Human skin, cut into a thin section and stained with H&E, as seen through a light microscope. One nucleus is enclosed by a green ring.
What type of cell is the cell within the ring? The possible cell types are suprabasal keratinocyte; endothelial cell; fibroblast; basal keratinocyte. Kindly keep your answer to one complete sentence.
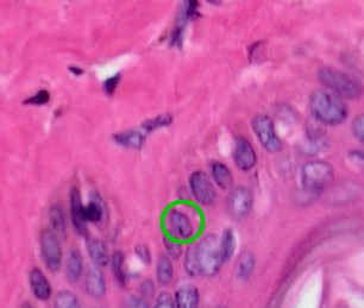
To be brief about it, the cell within the ring is a basal keratinocyte.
